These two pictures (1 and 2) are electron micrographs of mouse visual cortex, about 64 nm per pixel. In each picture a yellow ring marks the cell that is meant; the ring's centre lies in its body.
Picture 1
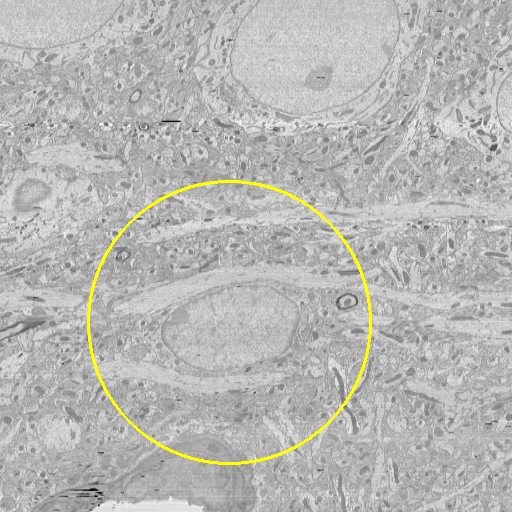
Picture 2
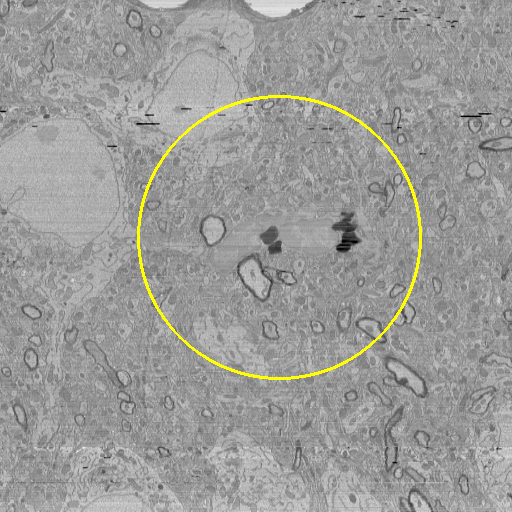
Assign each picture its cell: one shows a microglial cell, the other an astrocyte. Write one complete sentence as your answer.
Picture 1 shows an astrocyte and picture 2 shows a microglial cell.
